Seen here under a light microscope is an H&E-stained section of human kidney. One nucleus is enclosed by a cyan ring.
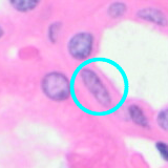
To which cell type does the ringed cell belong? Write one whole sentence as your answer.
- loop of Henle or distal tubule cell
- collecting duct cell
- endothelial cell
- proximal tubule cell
The expected answer is simply that the ringed cell is a collecting duct cell.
